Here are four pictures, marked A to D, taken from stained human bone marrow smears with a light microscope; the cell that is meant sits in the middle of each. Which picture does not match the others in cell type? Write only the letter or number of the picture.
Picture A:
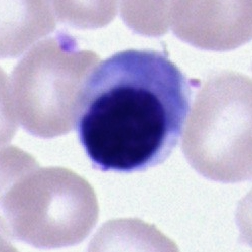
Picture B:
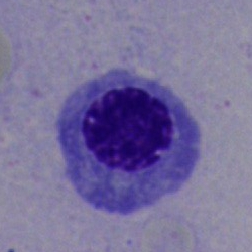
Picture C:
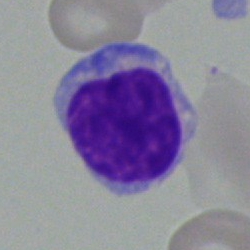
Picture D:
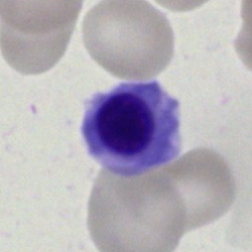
C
